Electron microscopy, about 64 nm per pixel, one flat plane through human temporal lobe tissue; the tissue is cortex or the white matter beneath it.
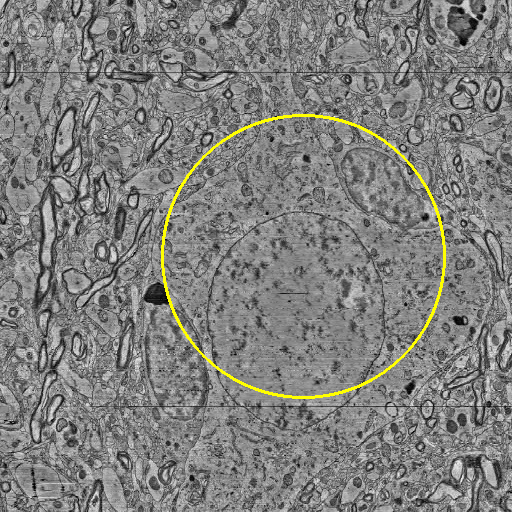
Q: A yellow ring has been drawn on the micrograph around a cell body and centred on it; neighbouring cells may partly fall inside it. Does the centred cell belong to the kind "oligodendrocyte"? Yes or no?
No, it belongs to another kind.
